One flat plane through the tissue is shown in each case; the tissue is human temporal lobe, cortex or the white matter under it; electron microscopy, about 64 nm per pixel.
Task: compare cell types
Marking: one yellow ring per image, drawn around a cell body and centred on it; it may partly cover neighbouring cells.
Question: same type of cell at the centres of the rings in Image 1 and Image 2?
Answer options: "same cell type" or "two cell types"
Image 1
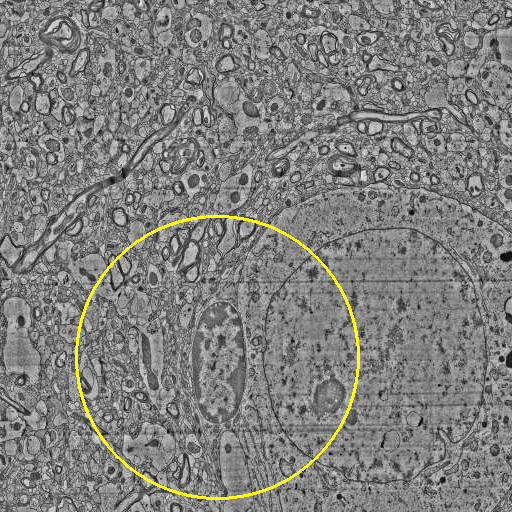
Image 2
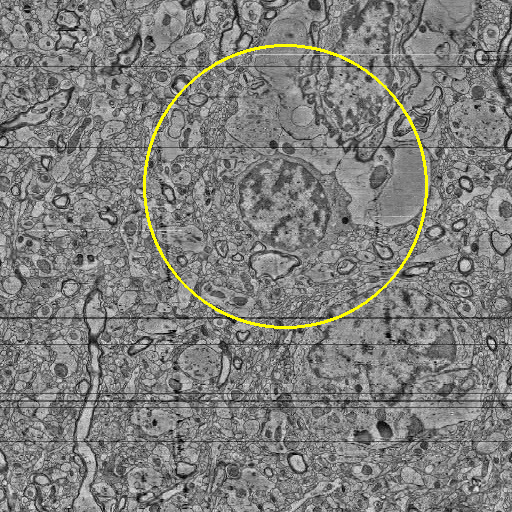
two cell types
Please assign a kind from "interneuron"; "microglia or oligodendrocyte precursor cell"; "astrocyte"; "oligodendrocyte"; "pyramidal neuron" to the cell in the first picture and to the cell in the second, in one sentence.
In the first picture we have a microglial cell or oligodendrocyte precursor cell, and in the second, an oligodendrocyte.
